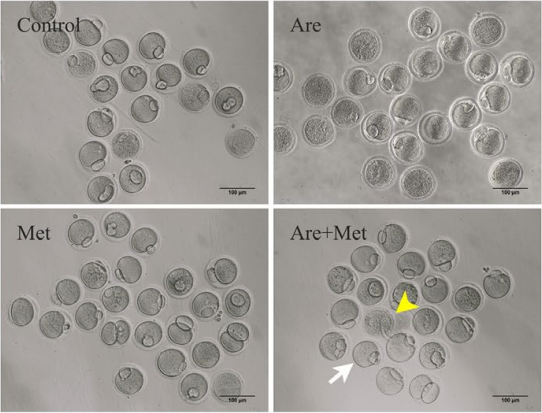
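In most fields many oocytes have a small first polar body pressed against the cell surface under the zona. In one field, many oocytes have a granular cytoplasm and no visible polar body. An arrowhead picks out an oocyte with darker, granular contents.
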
